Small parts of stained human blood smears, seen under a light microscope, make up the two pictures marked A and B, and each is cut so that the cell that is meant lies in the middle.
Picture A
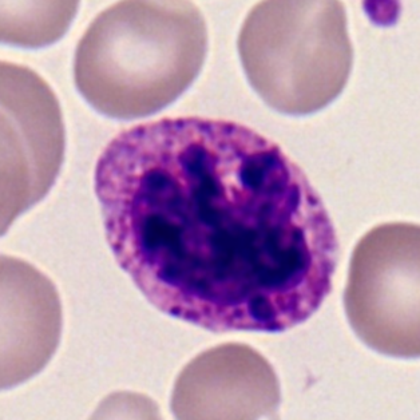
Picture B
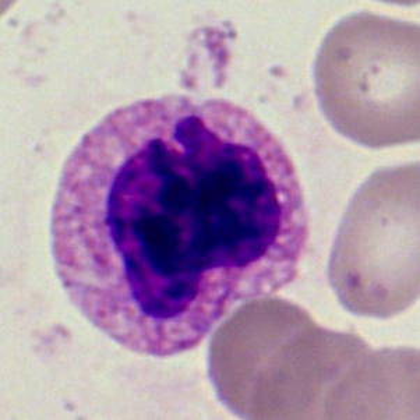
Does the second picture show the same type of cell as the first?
yes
